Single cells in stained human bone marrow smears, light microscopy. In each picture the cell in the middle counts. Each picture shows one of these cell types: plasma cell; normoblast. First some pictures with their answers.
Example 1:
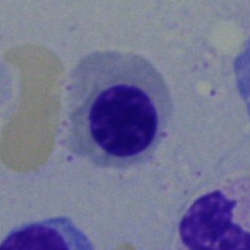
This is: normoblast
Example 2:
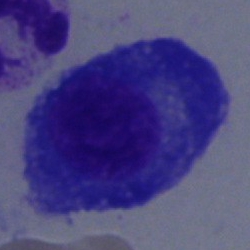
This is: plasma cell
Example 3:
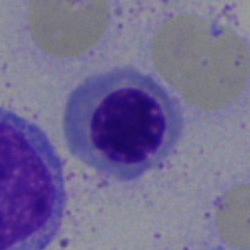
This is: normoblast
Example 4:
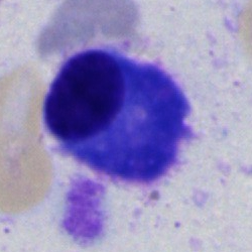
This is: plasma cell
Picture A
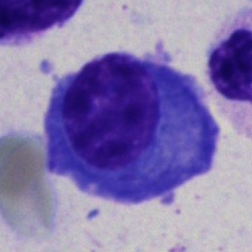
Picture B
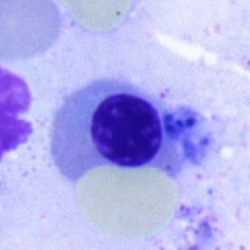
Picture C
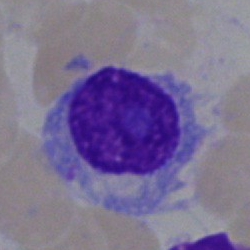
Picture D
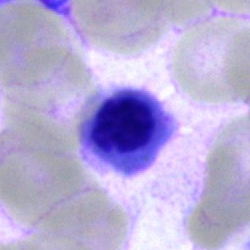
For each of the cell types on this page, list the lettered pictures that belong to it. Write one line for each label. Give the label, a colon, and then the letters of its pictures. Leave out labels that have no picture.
plasma cell: A, C
normoblast: B, D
